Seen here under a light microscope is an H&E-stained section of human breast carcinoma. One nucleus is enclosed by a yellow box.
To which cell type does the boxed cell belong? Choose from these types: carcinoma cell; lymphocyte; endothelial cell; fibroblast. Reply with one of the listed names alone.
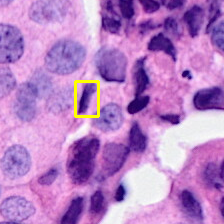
carcinoma cell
